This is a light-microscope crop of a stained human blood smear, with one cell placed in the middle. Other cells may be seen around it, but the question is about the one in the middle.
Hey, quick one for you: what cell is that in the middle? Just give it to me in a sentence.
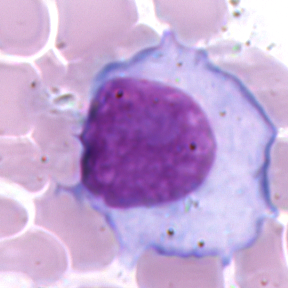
Within this crop, a plasma cell occupies the central position.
